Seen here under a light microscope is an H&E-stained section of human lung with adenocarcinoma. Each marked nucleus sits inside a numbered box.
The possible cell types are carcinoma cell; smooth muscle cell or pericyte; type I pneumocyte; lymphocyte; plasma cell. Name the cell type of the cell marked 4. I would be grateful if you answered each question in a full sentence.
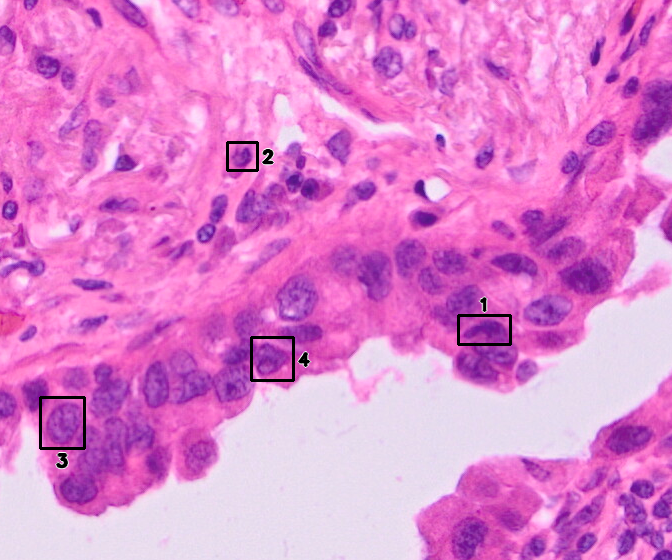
Cell 4 is classified as a carcinoma cell.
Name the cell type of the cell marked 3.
The cell indicated by marker 3 is a carcinoma cell in this section.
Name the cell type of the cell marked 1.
The cell pointed out by number 1 is a carcinoma cell.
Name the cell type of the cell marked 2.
Within this field of view, the cell labelled 2 is a plasma cell.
